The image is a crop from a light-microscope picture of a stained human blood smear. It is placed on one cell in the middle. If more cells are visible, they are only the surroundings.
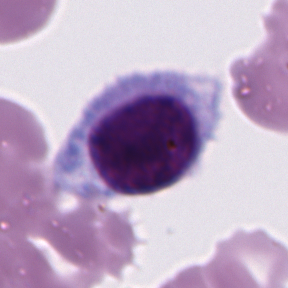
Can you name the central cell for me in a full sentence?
In this smear crop, the middle cell is a hairy cell.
